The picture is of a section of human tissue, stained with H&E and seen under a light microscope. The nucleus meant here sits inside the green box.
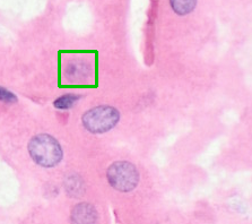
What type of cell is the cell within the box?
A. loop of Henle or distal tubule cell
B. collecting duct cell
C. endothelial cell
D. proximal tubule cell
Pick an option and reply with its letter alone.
D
